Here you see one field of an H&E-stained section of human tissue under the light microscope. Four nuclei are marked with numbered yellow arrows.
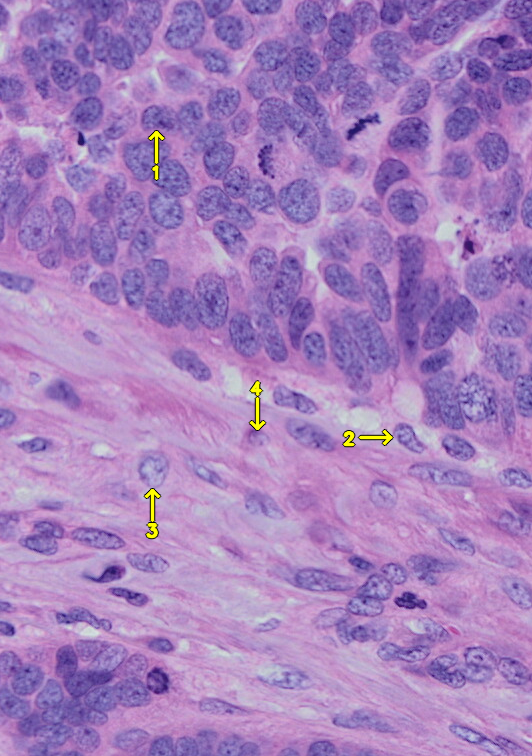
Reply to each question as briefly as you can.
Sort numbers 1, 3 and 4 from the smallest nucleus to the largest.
4, 1, 3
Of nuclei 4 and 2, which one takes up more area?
2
